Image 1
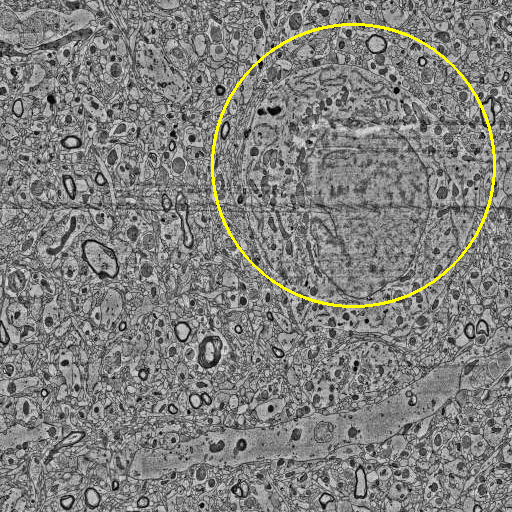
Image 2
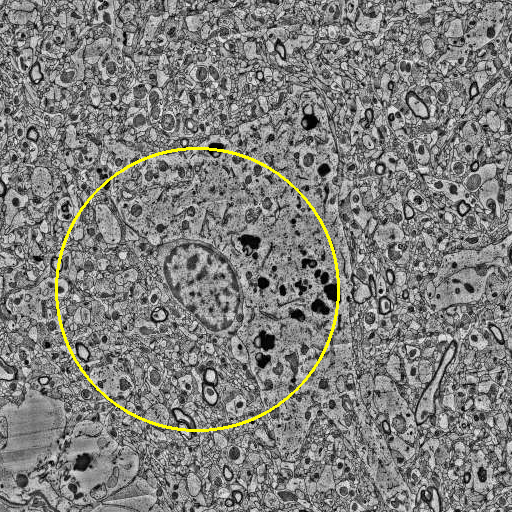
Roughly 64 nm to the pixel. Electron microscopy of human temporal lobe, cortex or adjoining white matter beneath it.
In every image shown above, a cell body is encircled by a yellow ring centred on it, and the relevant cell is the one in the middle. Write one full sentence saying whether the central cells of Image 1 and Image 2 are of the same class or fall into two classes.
The cell at the ring's centre in Image 1 and its counterpart in Image 2 fall into two classes.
